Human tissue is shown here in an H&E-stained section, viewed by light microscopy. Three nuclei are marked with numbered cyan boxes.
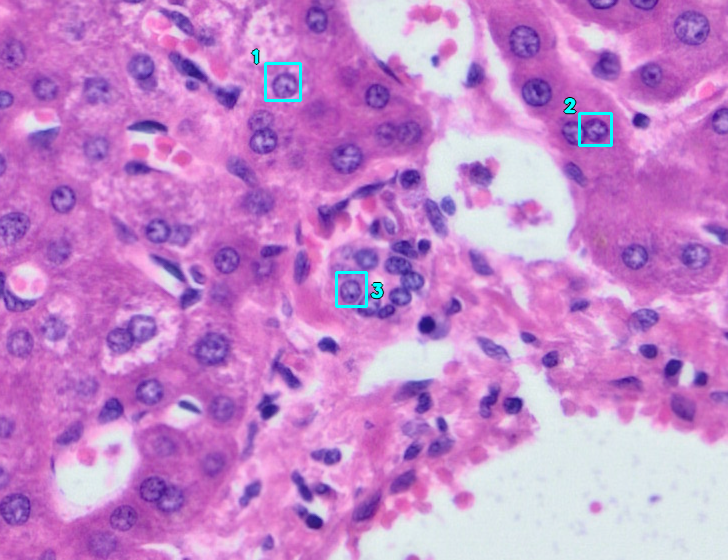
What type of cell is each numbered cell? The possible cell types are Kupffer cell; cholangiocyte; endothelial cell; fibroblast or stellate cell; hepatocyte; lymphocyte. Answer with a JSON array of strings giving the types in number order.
["hepatocyte", "hepatocyte", "cholangiocyte"]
